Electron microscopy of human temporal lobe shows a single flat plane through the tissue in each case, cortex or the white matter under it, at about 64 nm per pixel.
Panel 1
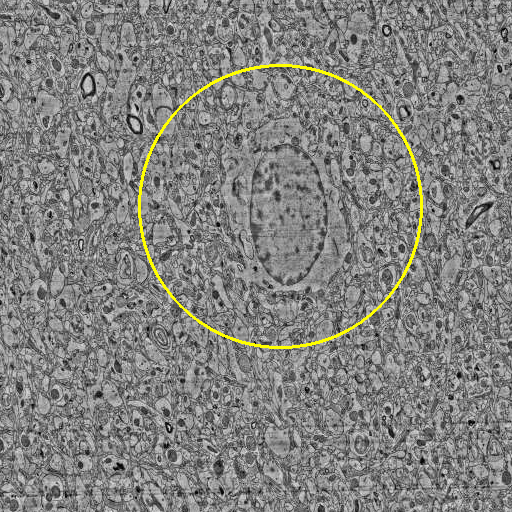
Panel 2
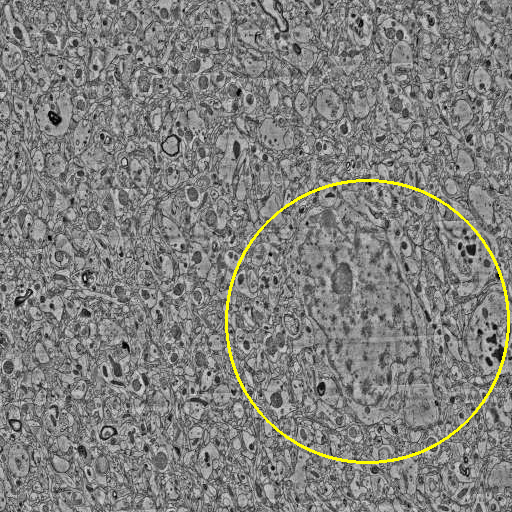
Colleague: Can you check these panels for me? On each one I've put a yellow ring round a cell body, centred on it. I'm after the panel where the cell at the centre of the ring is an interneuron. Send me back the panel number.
2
